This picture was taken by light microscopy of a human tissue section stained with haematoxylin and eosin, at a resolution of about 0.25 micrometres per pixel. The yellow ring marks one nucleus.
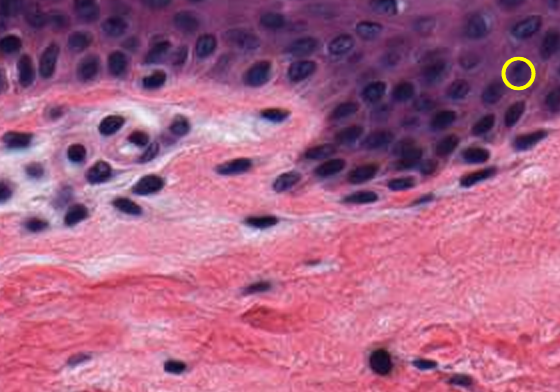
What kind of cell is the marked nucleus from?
keratinocyte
